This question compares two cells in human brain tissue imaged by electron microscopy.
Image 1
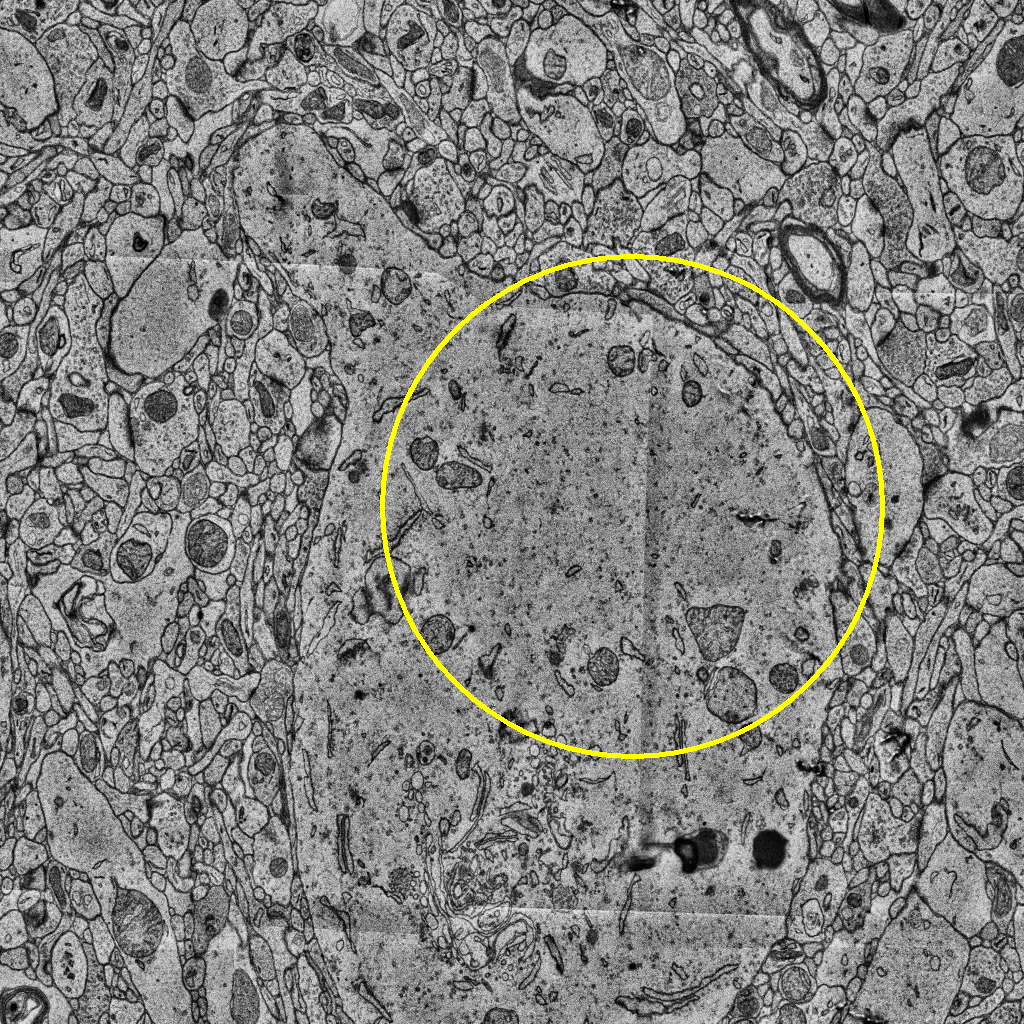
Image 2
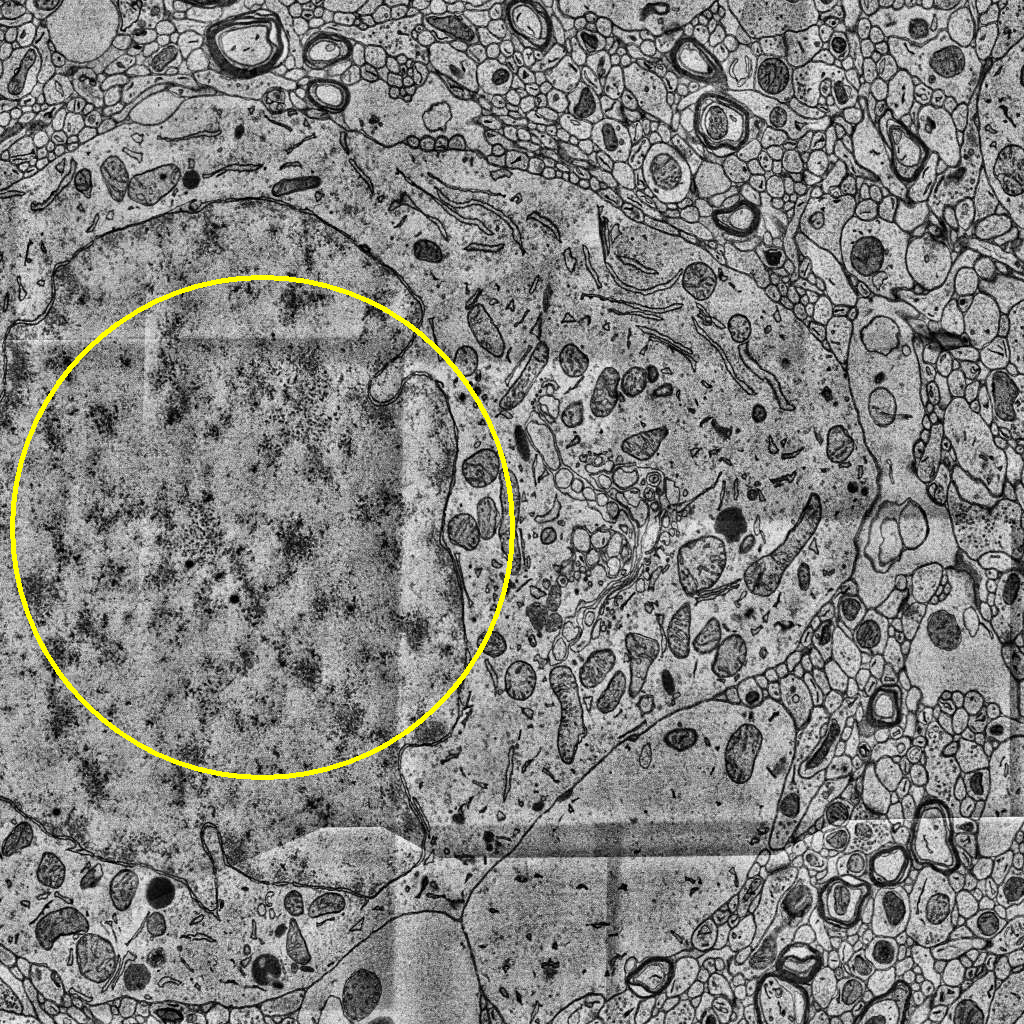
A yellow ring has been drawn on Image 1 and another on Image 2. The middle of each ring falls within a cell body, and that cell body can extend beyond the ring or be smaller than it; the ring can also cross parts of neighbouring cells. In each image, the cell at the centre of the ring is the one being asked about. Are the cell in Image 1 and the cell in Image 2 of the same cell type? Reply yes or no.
no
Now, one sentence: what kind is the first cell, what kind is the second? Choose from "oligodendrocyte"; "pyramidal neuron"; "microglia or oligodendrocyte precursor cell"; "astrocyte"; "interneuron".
The ring of the first picture is on a pyramidal neuron, the ring of the second on an interneuron.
